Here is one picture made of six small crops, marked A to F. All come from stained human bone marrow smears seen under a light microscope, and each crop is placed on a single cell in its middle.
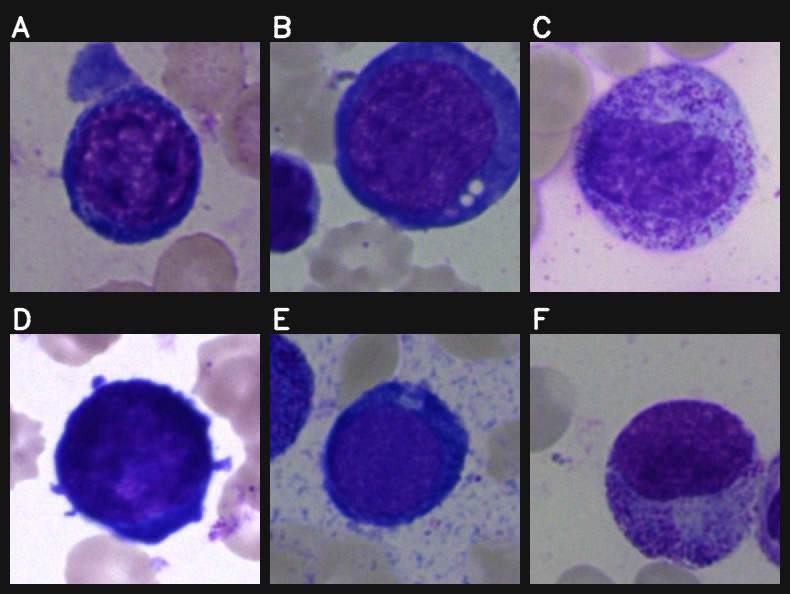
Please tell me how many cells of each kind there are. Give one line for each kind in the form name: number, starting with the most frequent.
proerythroblast: 4
myelocyte: 2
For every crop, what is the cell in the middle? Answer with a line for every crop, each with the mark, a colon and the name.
A: proerythroblast
B: proerythroblast
C: myelocyte
D: proerythroblast
E: proerythroblast
F: myelocyte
